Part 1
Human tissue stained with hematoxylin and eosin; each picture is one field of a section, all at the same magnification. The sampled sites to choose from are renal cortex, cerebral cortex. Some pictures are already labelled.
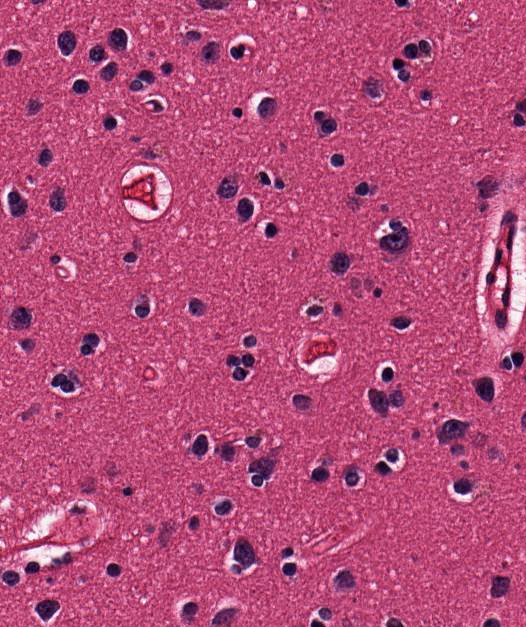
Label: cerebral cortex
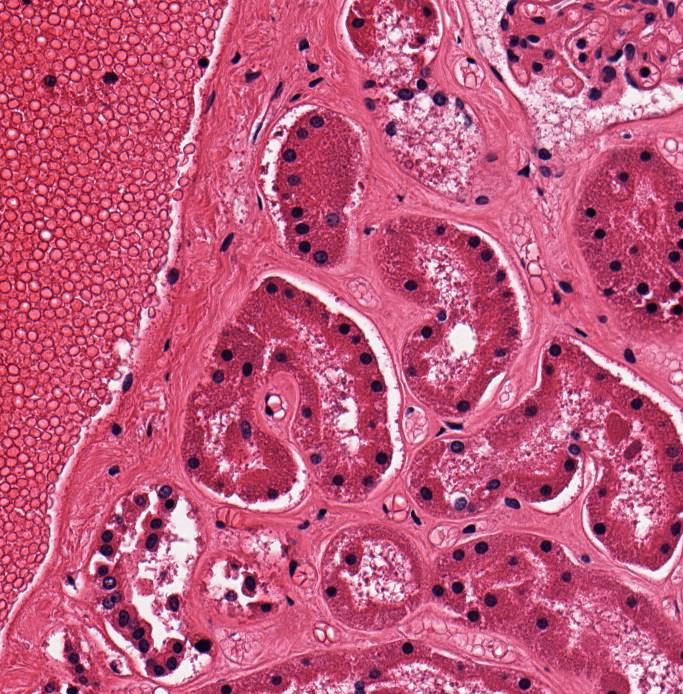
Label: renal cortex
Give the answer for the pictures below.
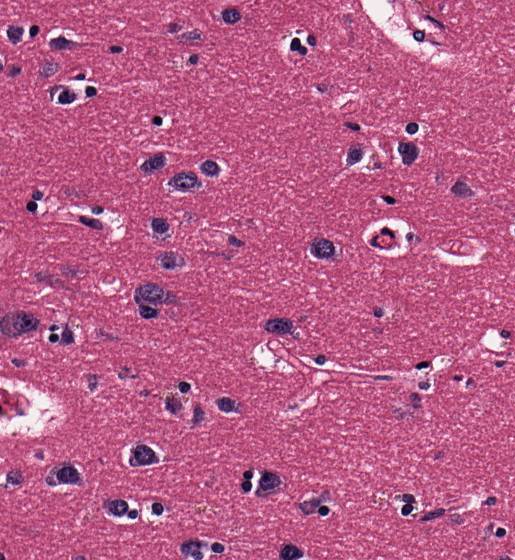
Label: cerebral cortex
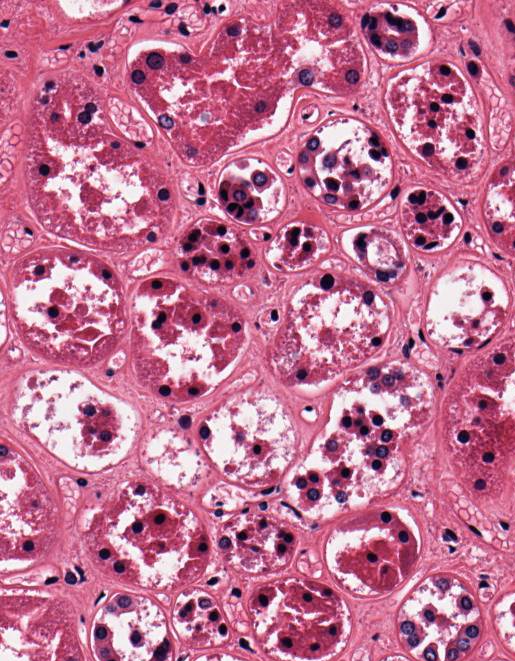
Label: renal cortex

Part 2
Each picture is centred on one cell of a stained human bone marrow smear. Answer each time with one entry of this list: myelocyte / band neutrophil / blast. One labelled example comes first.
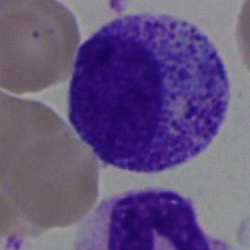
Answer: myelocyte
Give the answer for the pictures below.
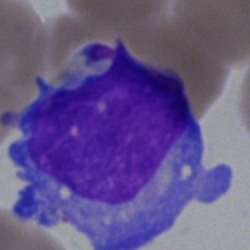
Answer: blast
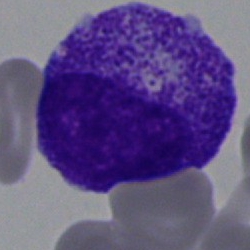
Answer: myelocyte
